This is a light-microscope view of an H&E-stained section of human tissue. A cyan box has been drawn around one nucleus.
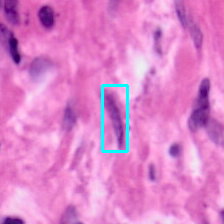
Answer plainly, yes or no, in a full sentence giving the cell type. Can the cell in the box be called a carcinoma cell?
No, the cell in the box is recorded as a fibroblast instead of a carcinoma cell.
